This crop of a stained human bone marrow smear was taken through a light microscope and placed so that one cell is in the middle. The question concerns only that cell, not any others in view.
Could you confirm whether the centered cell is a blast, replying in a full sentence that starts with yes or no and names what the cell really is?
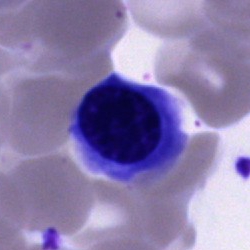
No, the cell of interest here is an erythroblast and not a blast.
